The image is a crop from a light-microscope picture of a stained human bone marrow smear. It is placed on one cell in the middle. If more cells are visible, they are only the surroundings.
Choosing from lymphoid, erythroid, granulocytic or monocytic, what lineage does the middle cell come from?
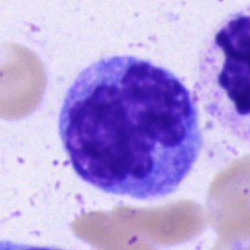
monocytic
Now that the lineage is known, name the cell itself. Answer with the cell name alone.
monocyte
